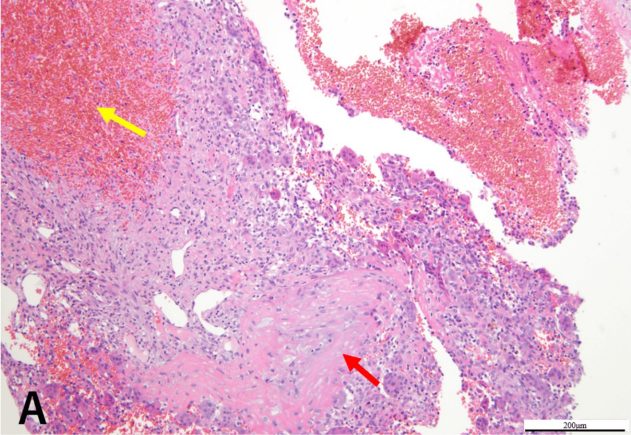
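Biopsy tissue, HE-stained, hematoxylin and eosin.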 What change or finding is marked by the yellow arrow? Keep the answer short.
Hemorrhagic areas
